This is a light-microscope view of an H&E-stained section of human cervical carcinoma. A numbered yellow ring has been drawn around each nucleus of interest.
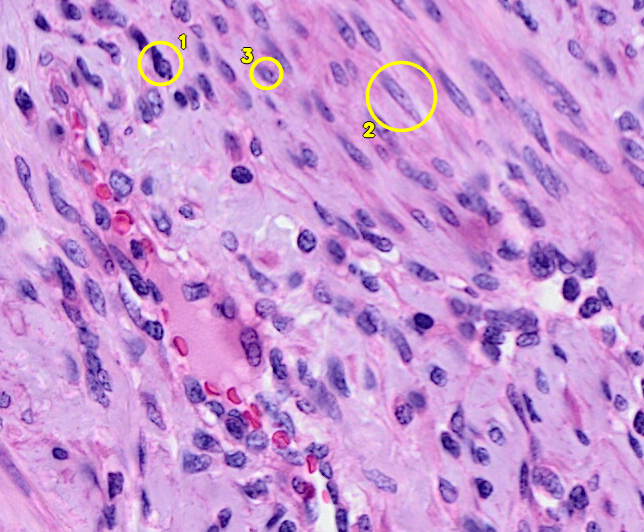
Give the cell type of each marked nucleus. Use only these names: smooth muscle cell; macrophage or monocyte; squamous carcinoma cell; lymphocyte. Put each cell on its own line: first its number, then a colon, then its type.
1: lymphocyte
2: smooth muscle cell
3: smooth muscle cell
